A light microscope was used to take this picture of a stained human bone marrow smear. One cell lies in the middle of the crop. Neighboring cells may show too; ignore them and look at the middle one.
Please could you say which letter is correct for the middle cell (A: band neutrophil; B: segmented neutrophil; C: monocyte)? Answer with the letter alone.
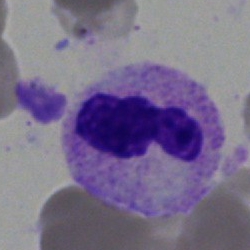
B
